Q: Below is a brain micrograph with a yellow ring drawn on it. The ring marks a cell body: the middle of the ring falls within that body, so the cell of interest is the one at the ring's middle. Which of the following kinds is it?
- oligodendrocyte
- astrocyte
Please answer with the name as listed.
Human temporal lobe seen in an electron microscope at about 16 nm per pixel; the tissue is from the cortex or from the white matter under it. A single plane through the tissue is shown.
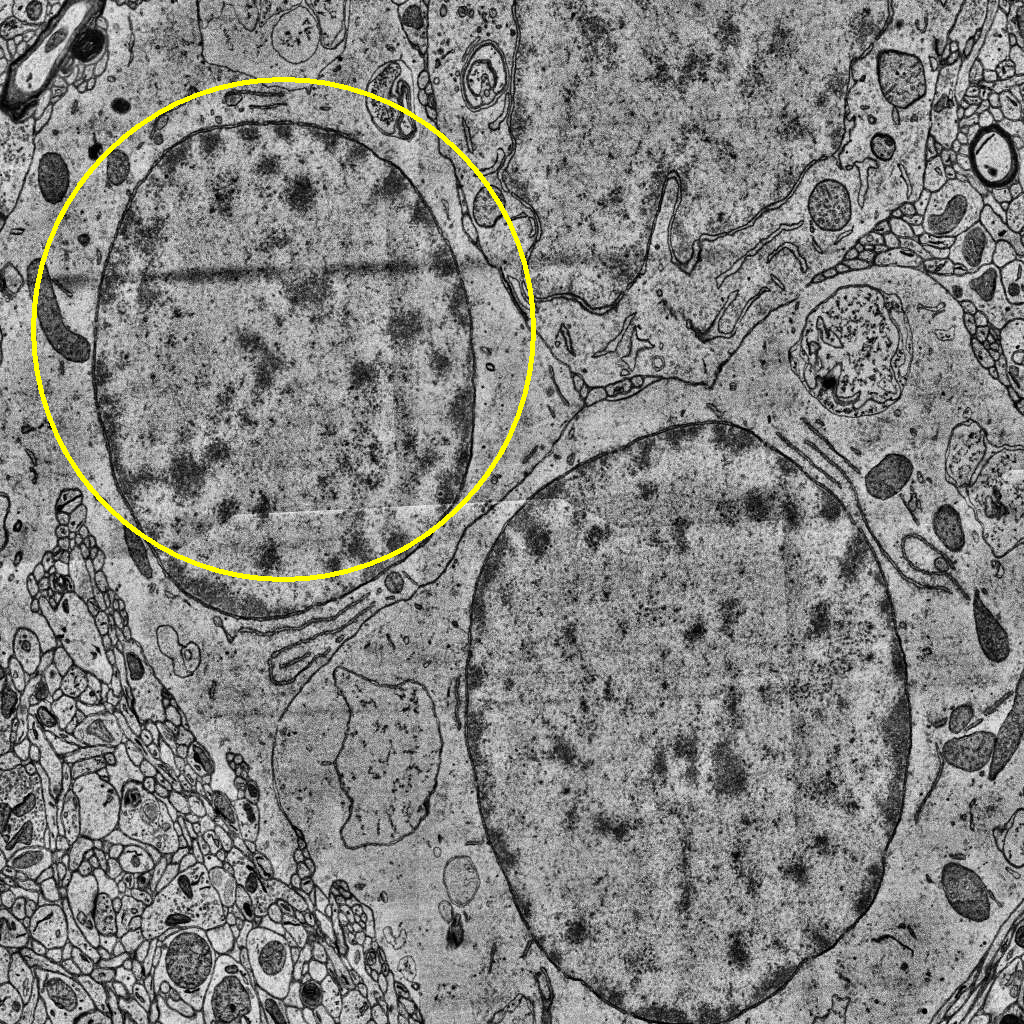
astrocyte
